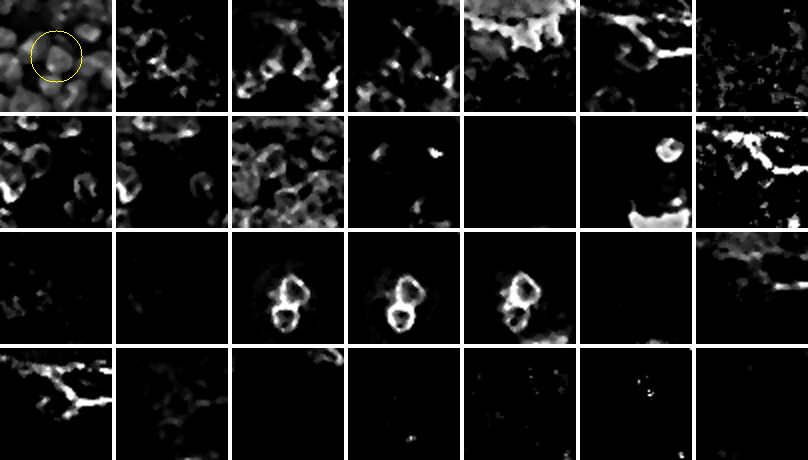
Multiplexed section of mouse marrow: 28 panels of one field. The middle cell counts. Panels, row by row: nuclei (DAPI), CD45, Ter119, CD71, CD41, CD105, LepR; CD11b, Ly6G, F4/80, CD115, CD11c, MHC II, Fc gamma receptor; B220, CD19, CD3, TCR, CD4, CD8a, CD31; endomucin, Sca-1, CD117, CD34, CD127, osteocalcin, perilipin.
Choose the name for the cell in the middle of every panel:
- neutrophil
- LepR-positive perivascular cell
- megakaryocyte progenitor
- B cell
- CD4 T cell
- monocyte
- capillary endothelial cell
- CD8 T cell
CD4 T cell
